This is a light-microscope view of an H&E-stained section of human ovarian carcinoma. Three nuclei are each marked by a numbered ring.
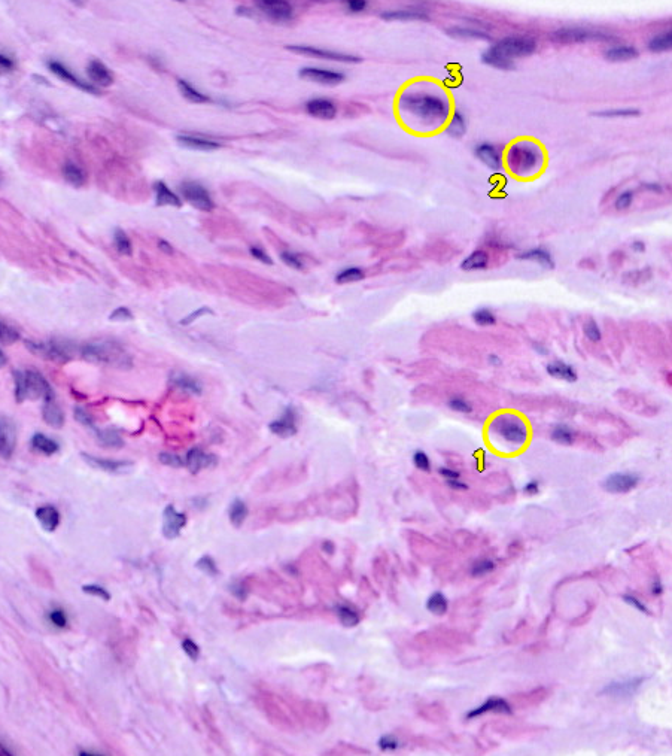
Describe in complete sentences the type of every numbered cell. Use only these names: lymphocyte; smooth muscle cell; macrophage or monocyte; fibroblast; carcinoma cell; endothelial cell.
Cell 1 is a smooth muscle cell. Cells 2 and 3 are endothelial cells.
